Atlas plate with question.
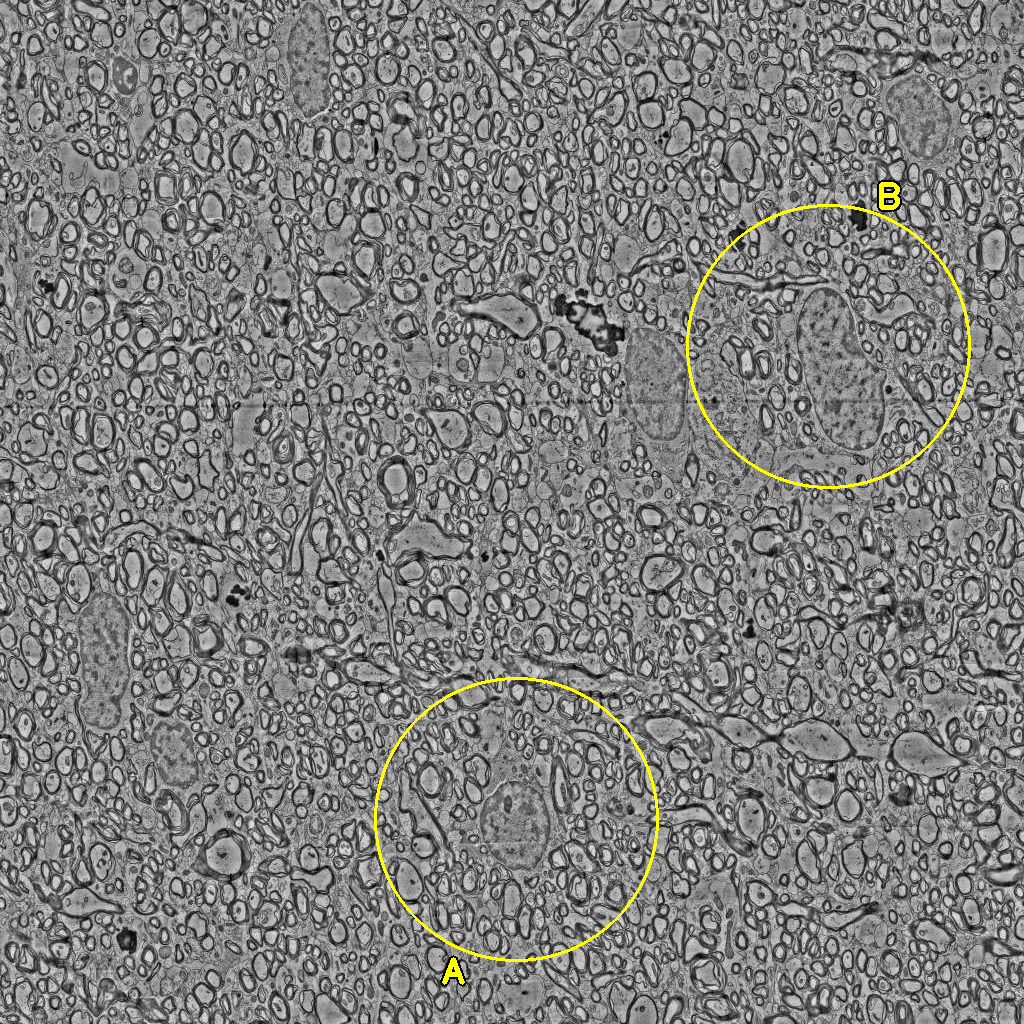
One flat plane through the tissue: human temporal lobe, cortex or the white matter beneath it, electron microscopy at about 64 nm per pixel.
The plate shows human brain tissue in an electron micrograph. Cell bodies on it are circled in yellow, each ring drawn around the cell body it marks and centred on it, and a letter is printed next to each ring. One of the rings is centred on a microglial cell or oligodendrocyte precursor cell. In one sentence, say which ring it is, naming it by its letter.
It is ring B.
